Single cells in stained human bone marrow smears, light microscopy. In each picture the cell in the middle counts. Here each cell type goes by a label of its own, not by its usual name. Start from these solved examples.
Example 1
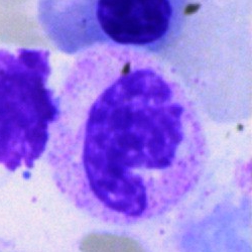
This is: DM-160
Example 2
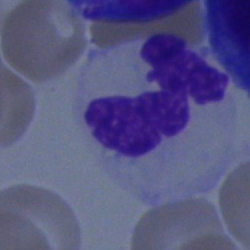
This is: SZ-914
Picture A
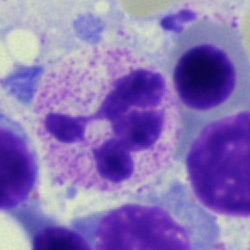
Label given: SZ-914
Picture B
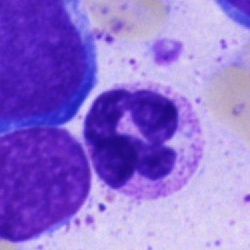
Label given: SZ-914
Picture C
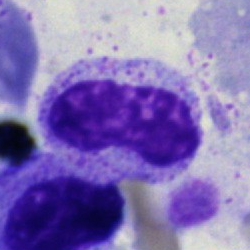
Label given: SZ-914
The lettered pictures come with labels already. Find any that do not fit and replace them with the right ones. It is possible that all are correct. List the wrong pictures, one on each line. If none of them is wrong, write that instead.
C: change SZ-914 to DM-160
